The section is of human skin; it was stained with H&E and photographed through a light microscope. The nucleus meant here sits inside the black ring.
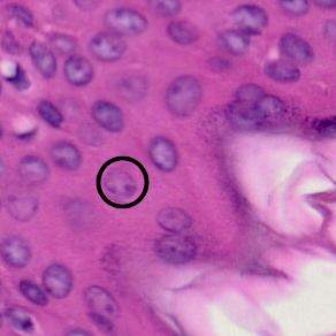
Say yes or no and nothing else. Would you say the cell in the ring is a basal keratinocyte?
no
